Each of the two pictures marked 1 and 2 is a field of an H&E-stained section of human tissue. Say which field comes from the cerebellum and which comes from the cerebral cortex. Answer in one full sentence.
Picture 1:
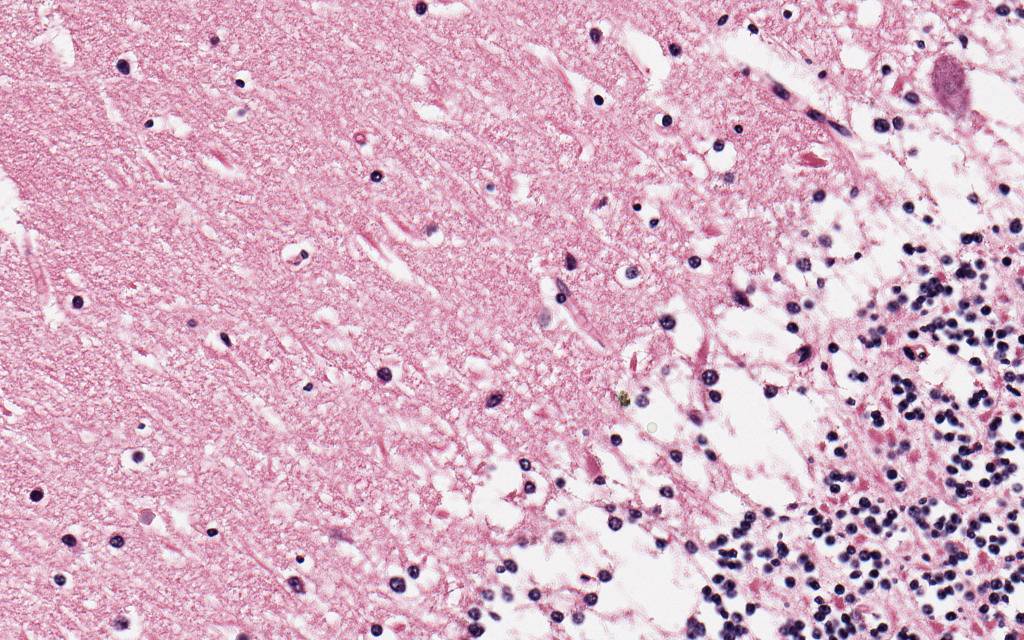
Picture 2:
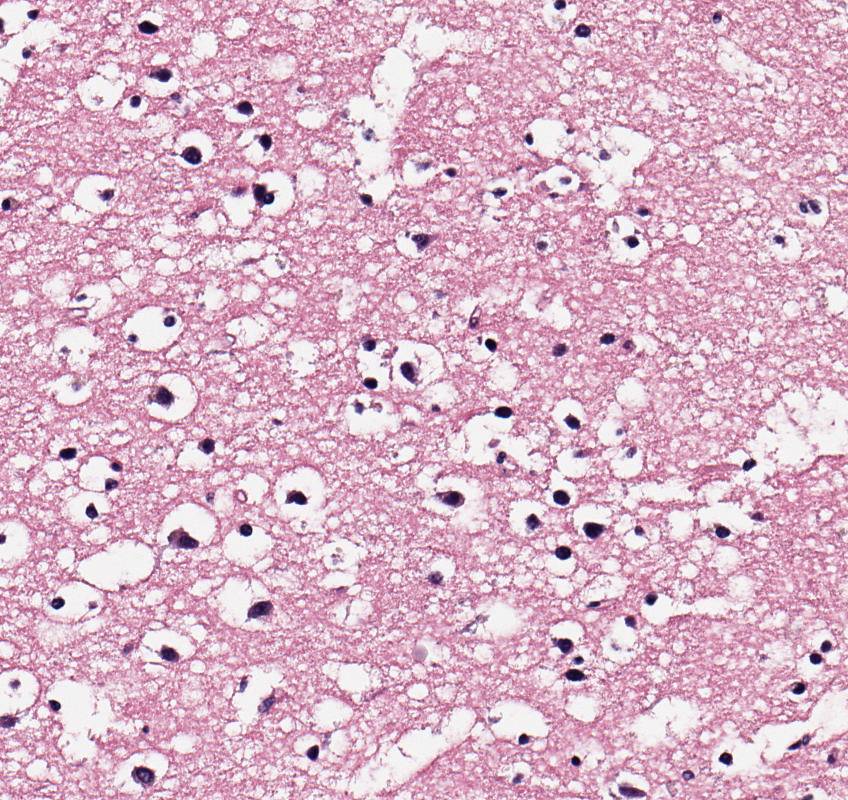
It is picture 1 that comes from the cerebellum, and picture 2 that comes from the cerebral cortex.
